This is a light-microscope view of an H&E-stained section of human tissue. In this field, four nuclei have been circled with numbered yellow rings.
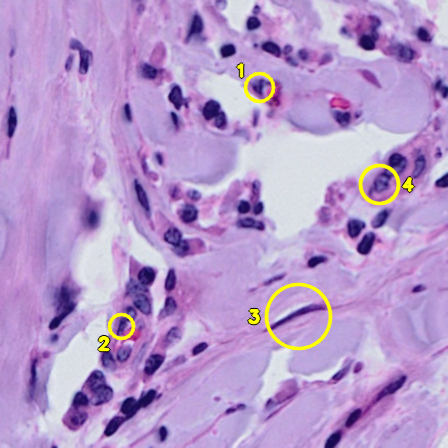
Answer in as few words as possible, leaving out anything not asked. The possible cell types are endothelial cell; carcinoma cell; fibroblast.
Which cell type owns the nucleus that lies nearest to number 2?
endothelial cell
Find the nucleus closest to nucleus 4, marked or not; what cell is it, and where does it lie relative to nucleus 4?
an endothelial cell; above and to the right of nucleus 4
